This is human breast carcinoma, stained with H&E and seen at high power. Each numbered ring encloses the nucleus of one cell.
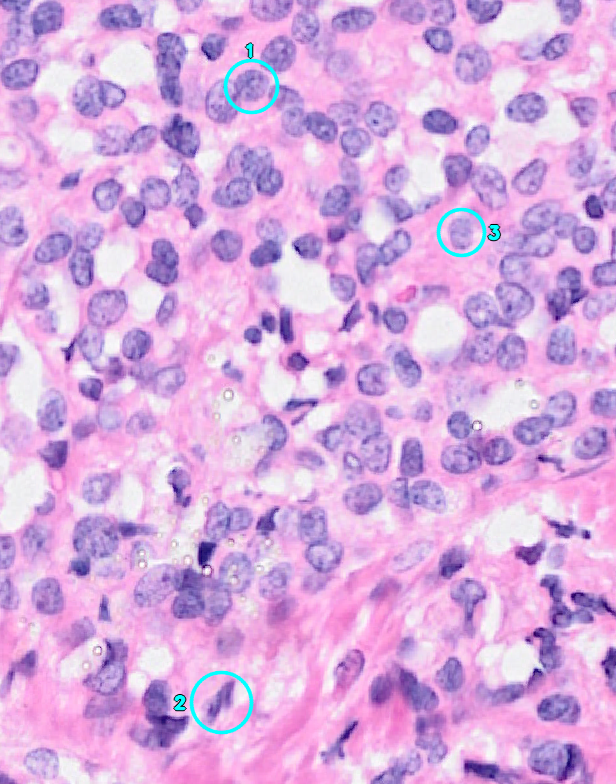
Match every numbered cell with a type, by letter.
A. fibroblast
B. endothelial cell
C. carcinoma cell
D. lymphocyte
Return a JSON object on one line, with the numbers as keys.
{"1": "C", "2": "A", "3": "C"}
